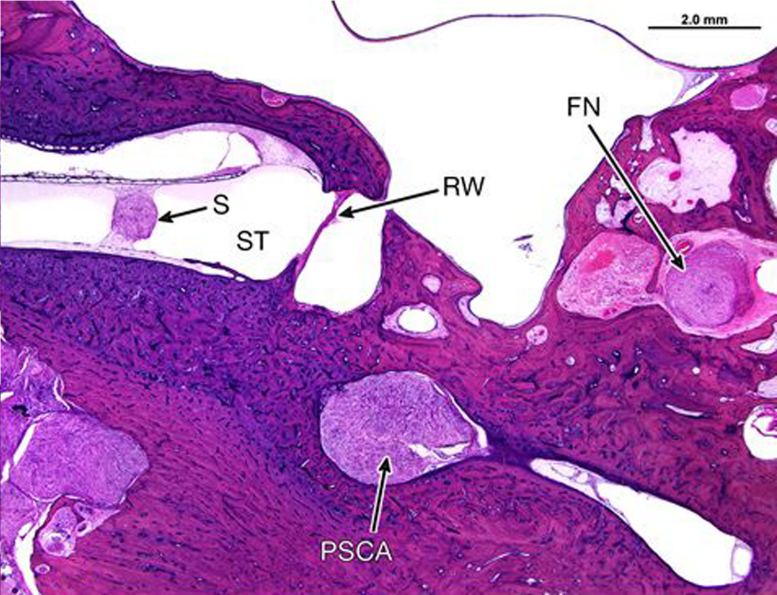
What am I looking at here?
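This axial section of temporal bone shows a cochlear fluid space, the round window, and several separate small tumors set in dense bone. A thin membrane spans the niche that opens toward the middle ear cavity. Lower in the bone, an ovoid well-circumscribed mass of similar fibrillar tissue fills a canal space. On the right, a rounded nerve within its bony canal contains a mass of the same texture, beside pink blood-filled spaces.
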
